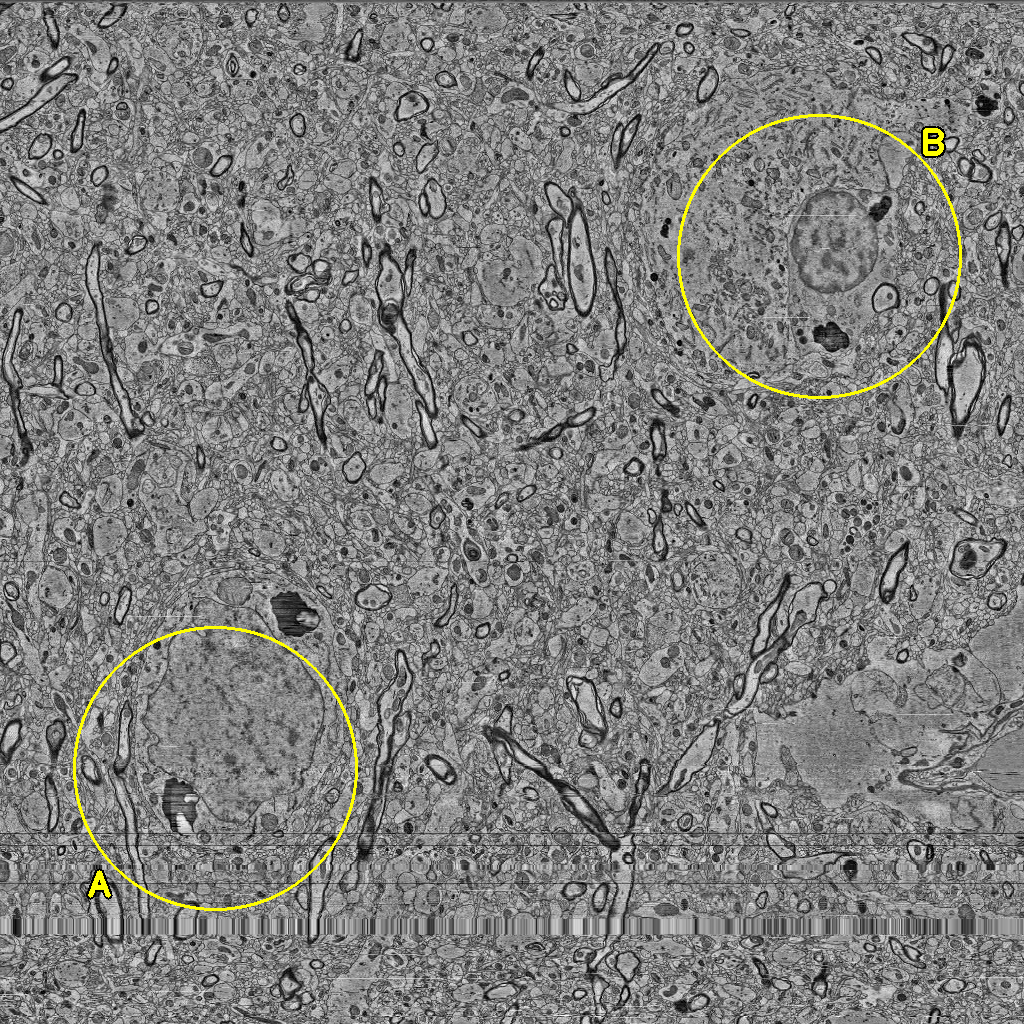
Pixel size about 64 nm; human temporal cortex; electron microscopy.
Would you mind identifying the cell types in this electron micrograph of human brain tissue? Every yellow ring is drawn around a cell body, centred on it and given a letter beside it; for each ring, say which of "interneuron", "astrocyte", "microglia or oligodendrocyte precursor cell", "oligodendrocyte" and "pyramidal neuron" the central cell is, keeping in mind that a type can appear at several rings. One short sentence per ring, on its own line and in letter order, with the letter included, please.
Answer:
At the centre of ring A lies an interneuron.
At the centre of ring B lies an oligodendrocyte.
